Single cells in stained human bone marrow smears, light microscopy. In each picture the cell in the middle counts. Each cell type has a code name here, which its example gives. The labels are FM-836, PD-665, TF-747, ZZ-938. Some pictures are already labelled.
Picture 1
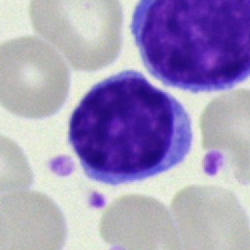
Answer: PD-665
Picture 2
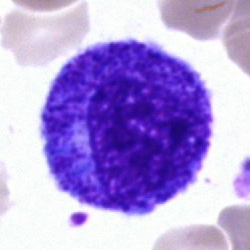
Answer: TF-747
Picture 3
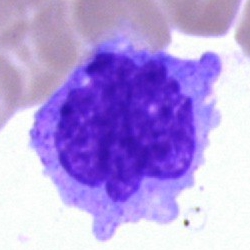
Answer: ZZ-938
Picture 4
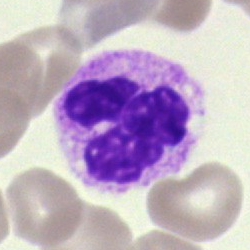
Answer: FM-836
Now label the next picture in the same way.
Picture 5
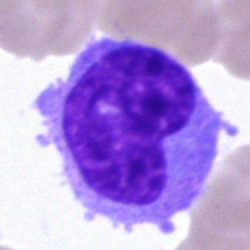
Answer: ZZ-938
